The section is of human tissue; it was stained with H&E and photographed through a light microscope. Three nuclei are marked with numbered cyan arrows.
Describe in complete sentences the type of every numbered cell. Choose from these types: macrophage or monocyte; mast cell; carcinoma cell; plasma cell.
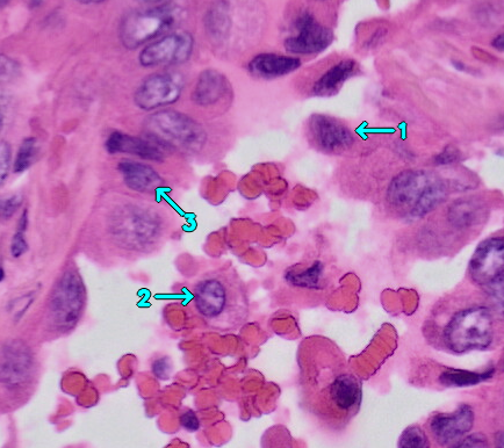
Cell 1 is a carcinoma cell, cell 2 is a macrophage or monocyte and cell 3 is a carcinoma cell.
